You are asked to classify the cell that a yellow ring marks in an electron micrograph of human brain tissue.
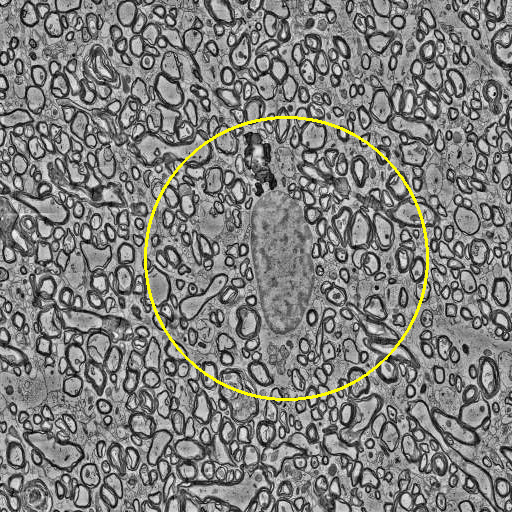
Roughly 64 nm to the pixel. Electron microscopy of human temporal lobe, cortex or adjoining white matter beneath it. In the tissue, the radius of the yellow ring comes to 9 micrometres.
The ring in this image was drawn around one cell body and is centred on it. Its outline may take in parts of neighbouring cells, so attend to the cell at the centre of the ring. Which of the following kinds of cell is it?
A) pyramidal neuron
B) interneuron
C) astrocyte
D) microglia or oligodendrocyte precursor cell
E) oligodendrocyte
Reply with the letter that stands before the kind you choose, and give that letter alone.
E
